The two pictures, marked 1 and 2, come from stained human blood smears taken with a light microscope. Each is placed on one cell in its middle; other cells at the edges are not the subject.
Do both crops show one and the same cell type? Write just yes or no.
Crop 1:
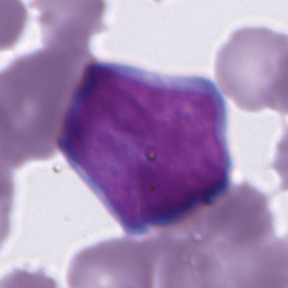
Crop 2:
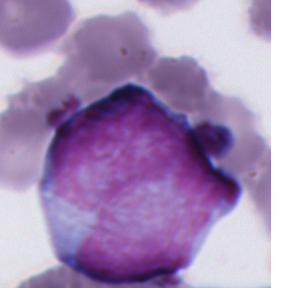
yes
